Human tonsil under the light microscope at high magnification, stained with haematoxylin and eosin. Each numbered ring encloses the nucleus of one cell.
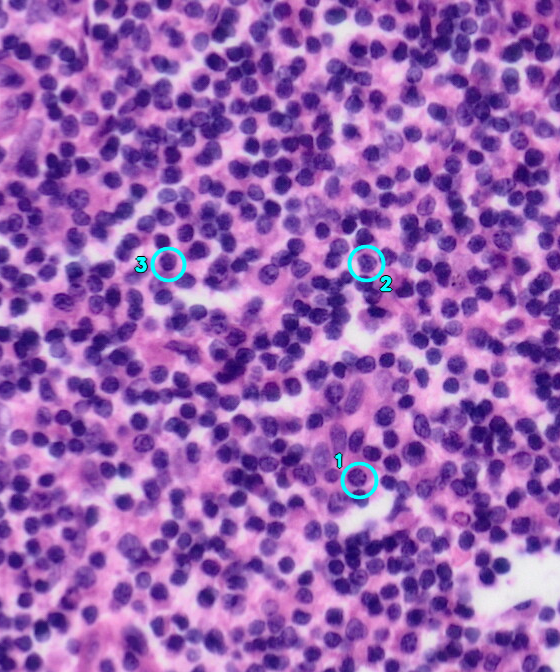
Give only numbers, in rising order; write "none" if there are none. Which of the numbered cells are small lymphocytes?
2, 3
